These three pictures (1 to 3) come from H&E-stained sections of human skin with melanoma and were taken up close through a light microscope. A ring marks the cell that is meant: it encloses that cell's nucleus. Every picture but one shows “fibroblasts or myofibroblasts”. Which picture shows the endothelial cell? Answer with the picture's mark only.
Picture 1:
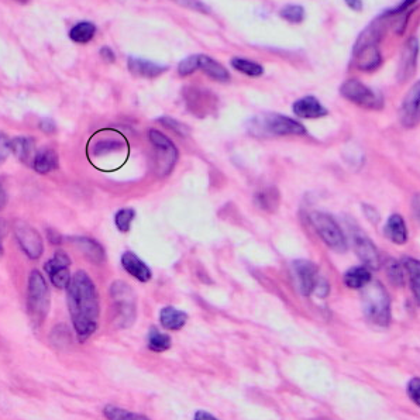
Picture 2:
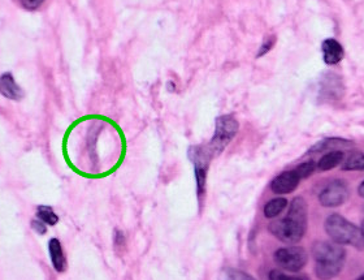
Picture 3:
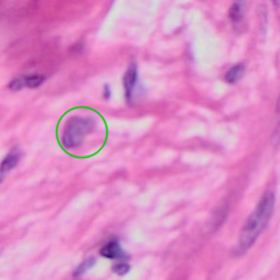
1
